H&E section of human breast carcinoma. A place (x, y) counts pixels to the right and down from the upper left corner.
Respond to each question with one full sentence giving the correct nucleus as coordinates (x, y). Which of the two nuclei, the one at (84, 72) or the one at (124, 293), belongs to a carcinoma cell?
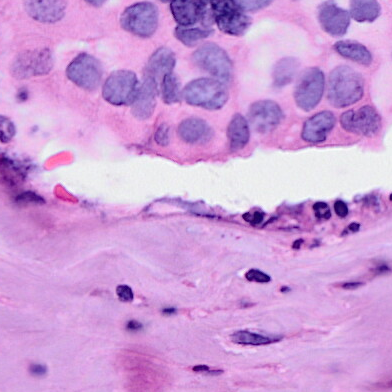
Only the nucleus at (84, 72), of the two, belongs to a carcinoma cell.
